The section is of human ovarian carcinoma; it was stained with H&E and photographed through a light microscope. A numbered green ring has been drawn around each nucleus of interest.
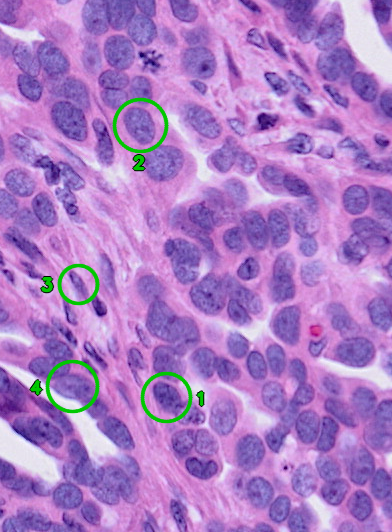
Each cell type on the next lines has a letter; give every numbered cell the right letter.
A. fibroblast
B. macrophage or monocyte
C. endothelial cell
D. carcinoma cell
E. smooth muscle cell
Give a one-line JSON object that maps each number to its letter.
{"1": "D", "2": "D", "3": "A", "4": "D"}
